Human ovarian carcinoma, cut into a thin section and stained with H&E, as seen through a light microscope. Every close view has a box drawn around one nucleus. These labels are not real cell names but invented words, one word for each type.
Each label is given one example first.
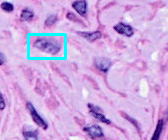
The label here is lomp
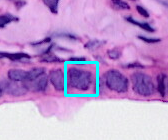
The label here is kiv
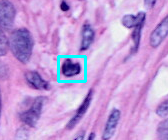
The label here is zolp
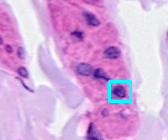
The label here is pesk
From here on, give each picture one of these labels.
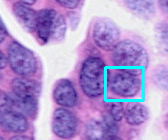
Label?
kiv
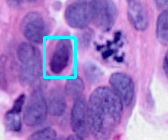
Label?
kiv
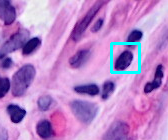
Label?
zolp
